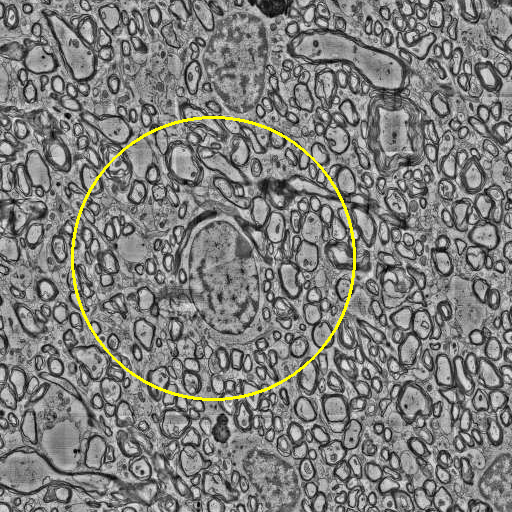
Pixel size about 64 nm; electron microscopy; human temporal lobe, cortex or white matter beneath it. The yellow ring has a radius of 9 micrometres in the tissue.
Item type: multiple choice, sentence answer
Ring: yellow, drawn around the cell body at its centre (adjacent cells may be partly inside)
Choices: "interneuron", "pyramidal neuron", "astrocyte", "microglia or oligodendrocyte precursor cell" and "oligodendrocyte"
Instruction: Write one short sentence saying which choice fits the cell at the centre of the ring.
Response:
This ring is drawn around a microglial cell or oligodendrocyte precursor cell.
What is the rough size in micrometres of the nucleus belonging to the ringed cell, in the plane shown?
In this plane the nucleus is roughly 7 by 5 micrometres, clearly longer than it is wide.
